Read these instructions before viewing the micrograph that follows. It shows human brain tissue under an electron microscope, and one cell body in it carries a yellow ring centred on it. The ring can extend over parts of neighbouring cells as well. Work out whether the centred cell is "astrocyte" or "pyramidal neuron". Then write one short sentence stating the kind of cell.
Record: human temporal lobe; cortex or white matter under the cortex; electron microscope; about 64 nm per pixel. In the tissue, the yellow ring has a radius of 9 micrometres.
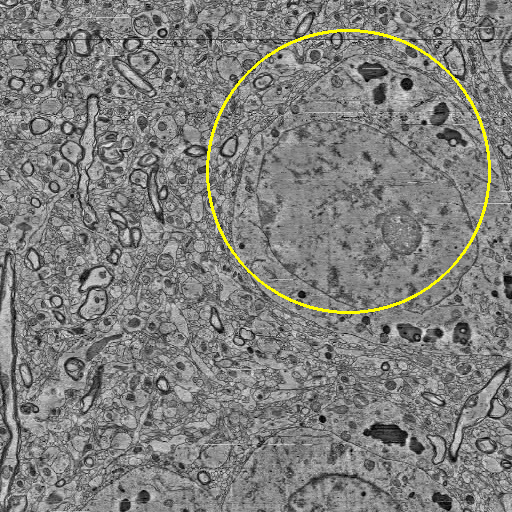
The ringed cell is a pyramidal neuron.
